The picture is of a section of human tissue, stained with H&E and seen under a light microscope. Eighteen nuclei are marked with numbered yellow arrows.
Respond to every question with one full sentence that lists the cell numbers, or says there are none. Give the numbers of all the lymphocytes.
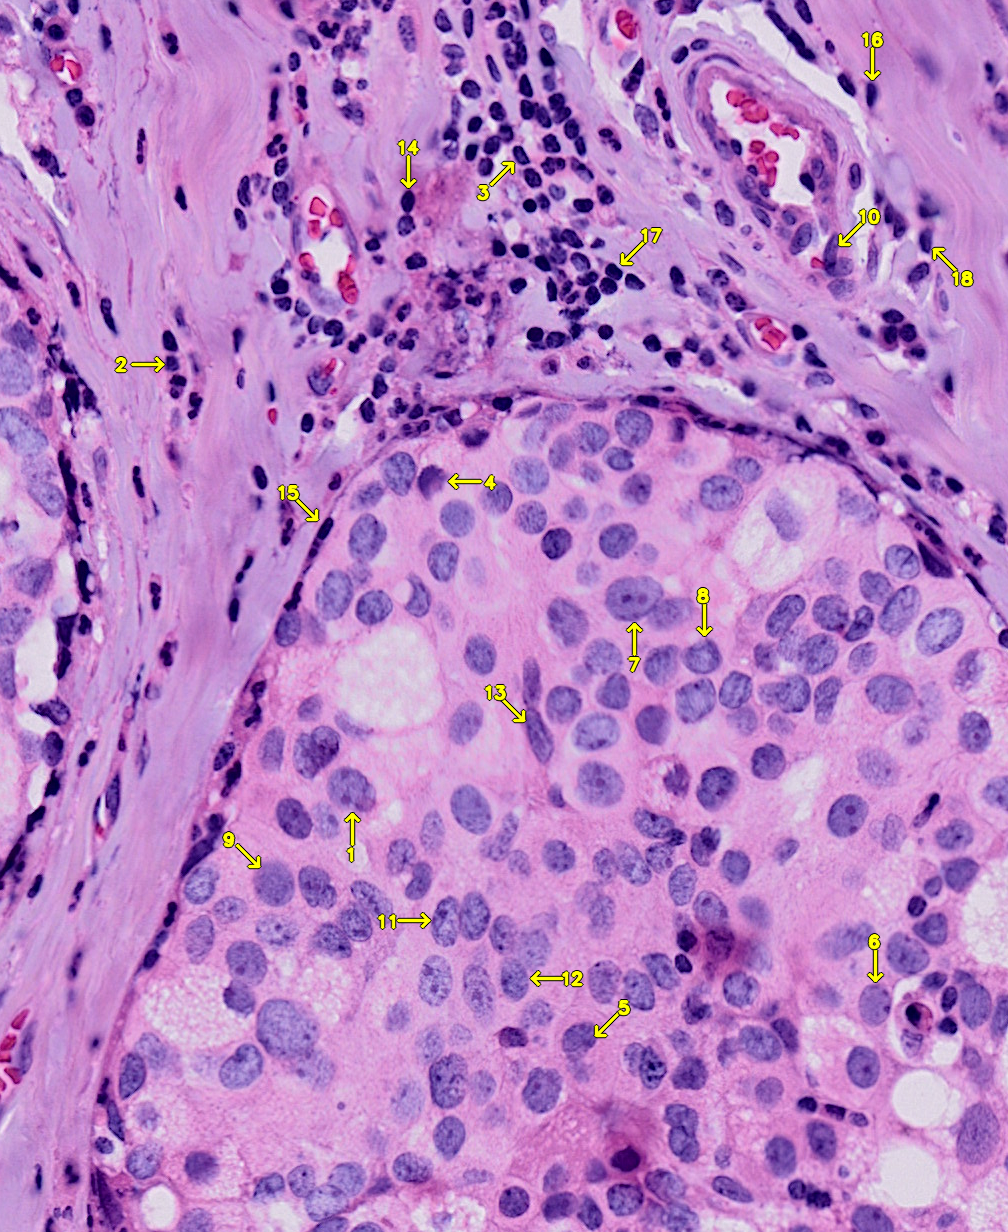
To be specific, the cells numbered 2, 3, 14, 15, 16, 17 and 18 are lymphocytes.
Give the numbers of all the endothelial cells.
Nothing but cell 10 is an endothelial cell among the numbered ones.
